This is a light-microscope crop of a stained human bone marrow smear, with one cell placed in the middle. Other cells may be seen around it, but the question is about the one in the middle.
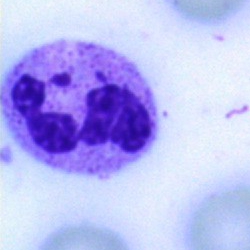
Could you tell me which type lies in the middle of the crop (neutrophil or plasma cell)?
neutrophil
